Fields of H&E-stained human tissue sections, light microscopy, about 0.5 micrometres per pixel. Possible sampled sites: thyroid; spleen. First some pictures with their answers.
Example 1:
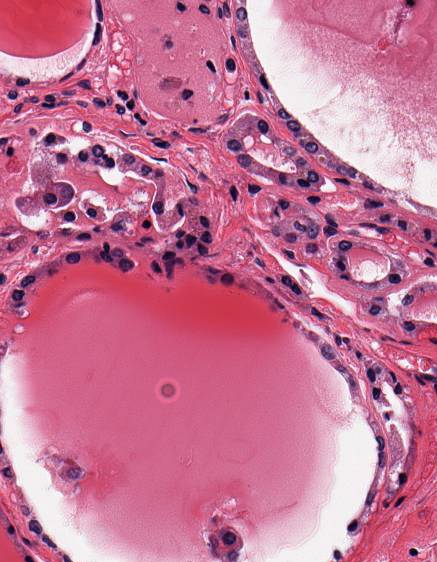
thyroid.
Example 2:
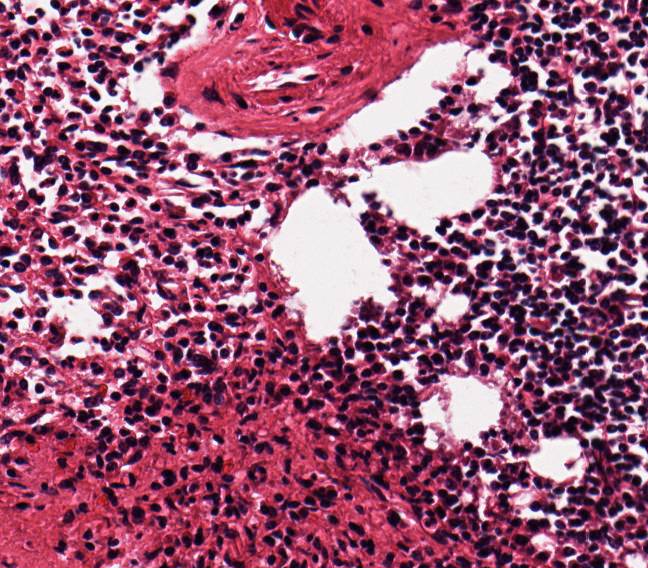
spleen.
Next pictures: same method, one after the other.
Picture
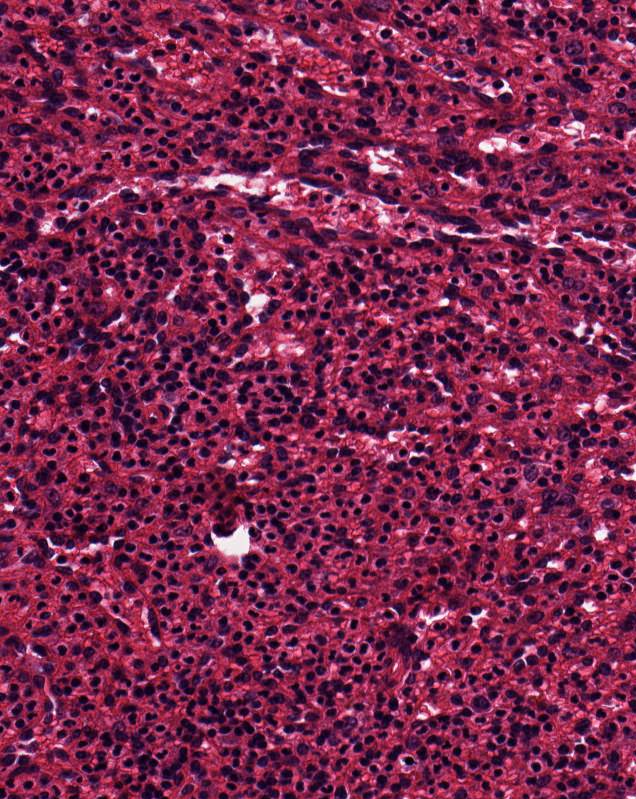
spleen.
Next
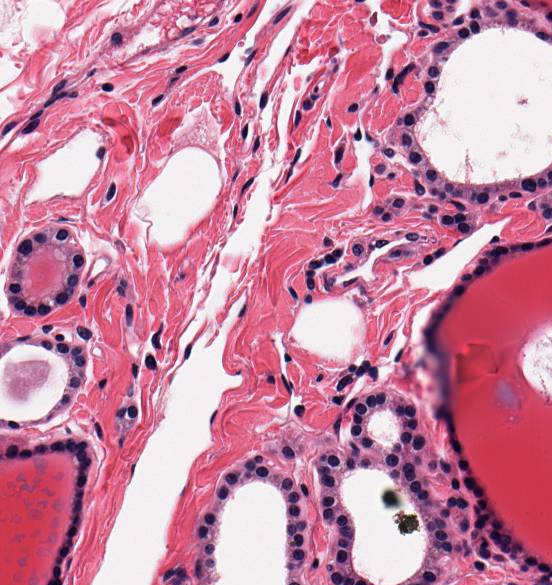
thyroid.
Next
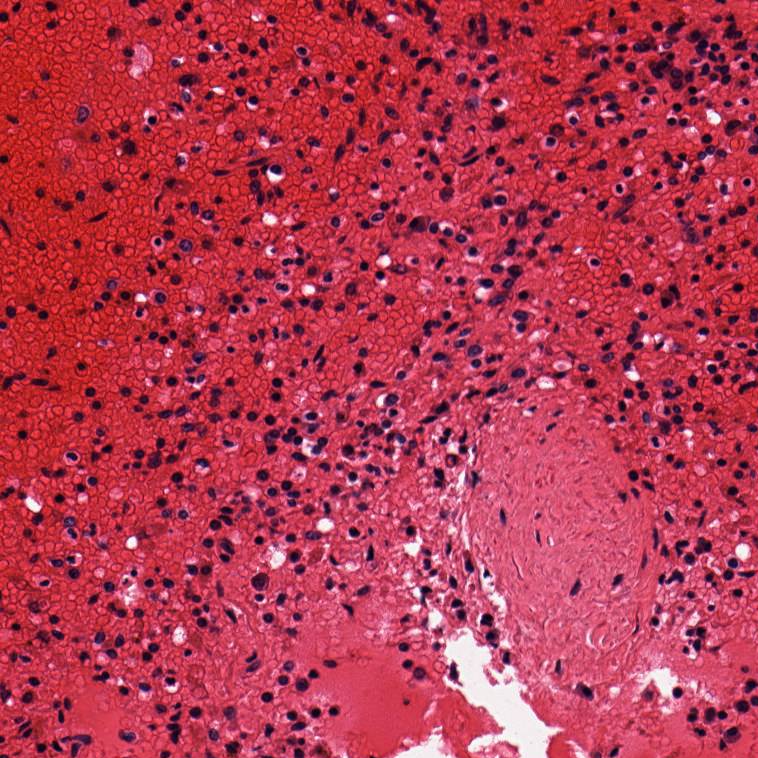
spleen.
